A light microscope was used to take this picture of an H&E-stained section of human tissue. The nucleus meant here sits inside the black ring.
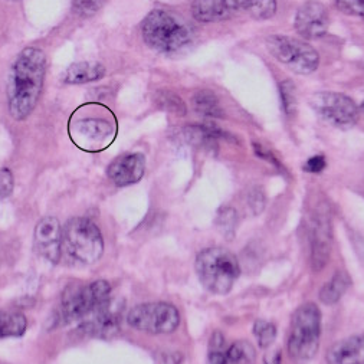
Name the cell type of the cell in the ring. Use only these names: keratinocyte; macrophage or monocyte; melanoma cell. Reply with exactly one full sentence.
Labelled by cell type, the cell in the ring is a melanoma cell.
